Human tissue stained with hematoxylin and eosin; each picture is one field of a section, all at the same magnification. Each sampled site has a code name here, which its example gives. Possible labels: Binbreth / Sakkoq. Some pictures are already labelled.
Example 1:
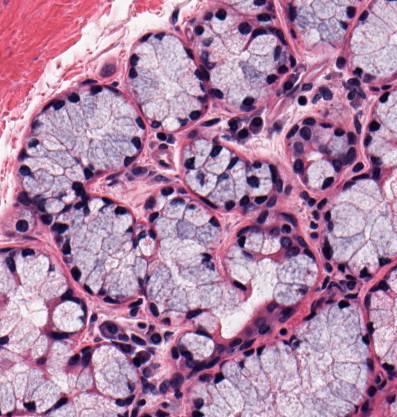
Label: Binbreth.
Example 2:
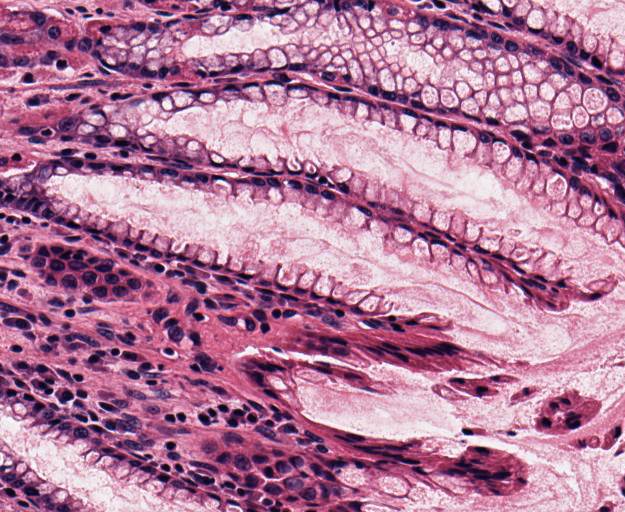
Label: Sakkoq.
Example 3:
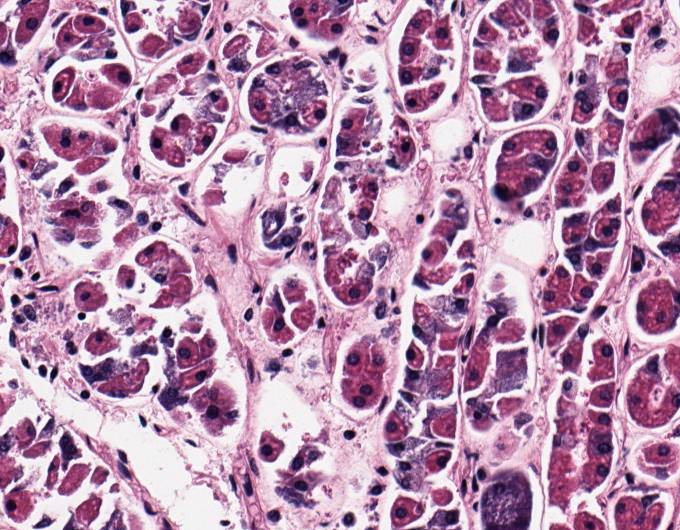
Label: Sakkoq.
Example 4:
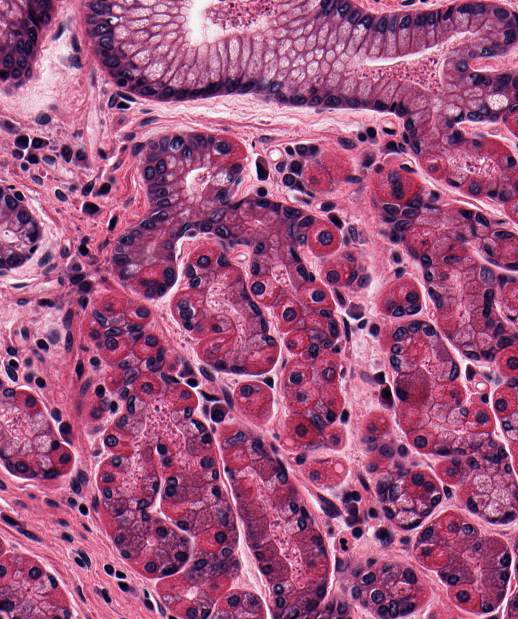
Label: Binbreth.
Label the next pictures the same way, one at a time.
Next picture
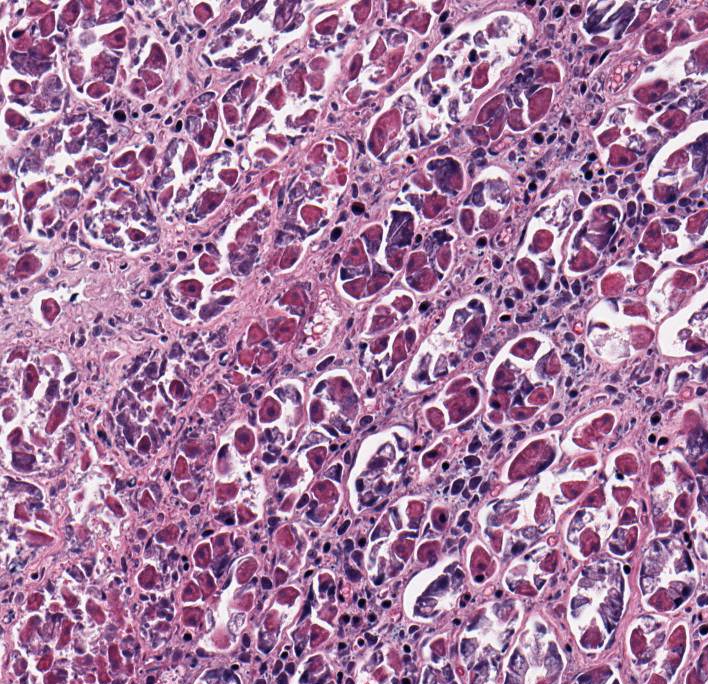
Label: Sakkoq.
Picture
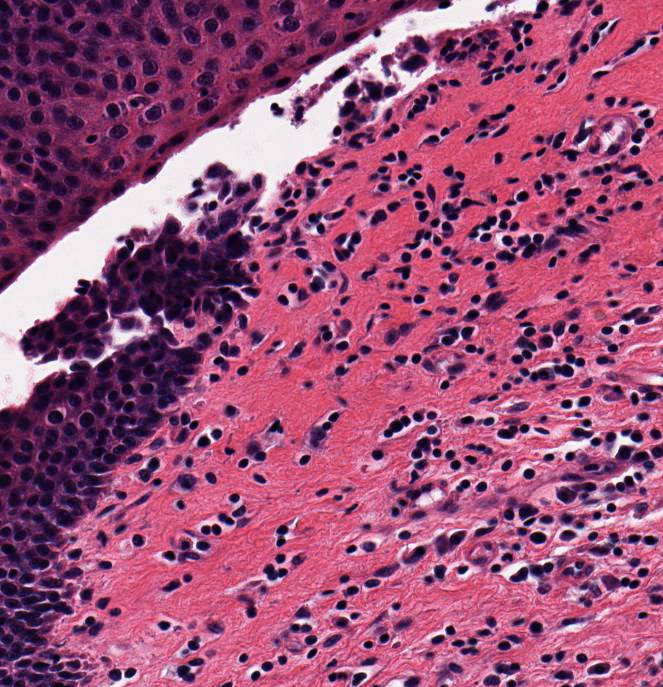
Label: Binbreth.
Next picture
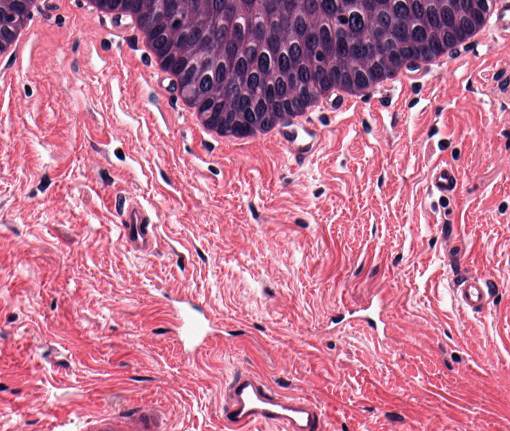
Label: Binbreth.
